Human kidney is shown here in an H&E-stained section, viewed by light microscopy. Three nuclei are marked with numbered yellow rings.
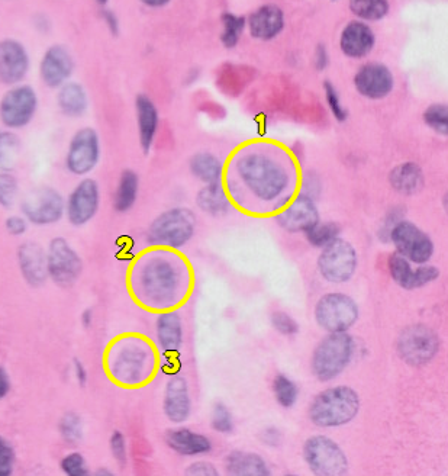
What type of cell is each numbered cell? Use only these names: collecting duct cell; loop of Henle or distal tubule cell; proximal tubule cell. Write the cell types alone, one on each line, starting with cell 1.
collecting duct cell
collecting duct cell
loop of Henle or distal tubule cell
